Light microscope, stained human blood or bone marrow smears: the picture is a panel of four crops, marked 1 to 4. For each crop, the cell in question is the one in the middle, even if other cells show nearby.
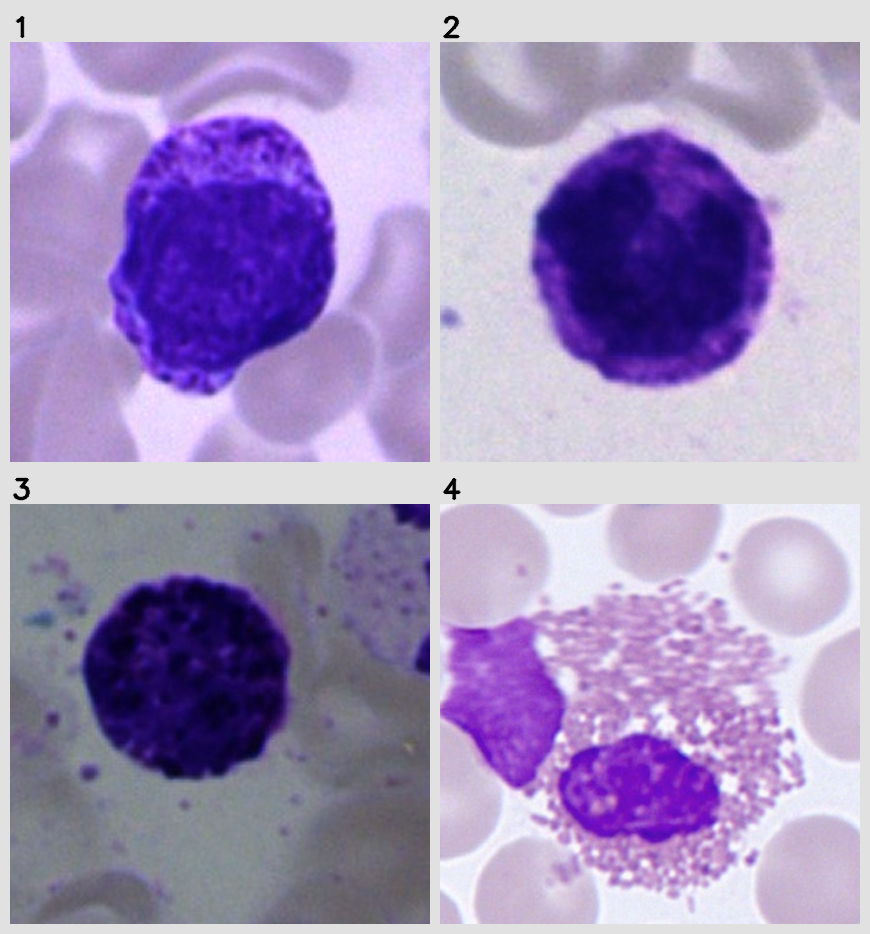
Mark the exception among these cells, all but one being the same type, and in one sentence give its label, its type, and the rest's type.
The exception is crop 4, with an eosinophil; the remaining crops all show basophils.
